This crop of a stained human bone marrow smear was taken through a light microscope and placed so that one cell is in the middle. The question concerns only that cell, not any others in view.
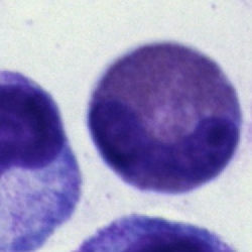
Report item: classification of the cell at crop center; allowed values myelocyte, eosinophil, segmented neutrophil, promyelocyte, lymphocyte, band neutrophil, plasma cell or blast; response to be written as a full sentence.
To answer, the cell in the center of the crop is an eosinophil.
